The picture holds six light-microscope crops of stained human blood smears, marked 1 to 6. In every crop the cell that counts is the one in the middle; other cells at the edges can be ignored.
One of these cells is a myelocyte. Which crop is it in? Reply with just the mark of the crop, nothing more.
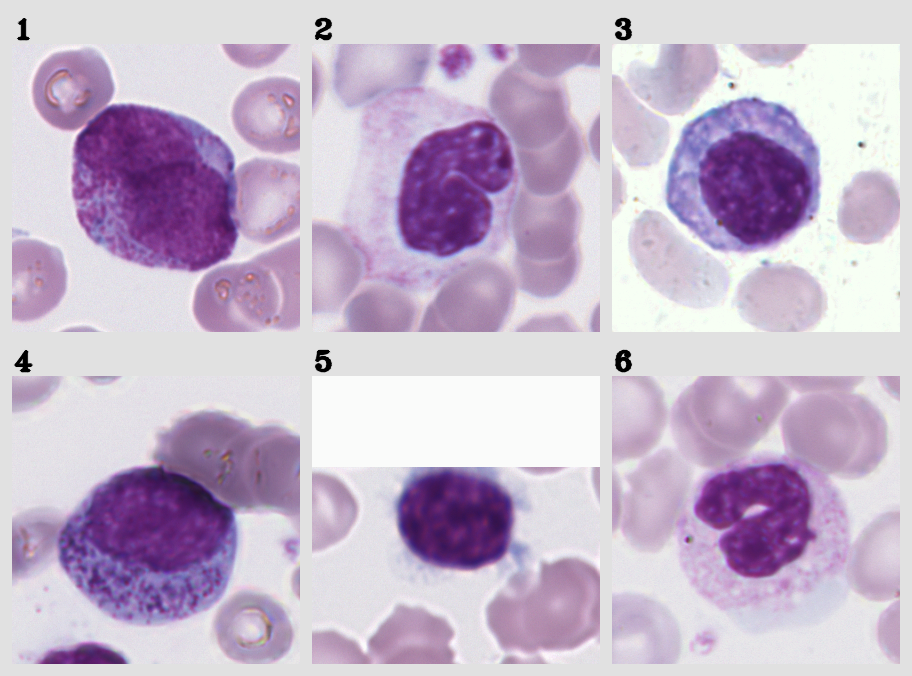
4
